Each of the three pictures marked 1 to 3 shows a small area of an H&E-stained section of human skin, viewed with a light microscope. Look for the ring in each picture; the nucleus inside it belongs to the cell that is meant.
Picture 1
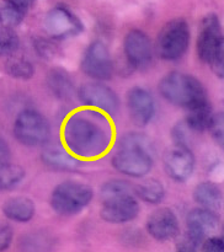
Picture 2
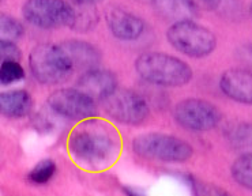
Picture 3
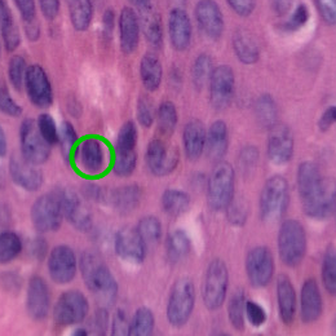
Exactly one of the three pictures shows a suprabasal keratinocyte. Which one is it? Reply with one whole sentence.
The cell in picture 1 is the suprabasal keratinocyte.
